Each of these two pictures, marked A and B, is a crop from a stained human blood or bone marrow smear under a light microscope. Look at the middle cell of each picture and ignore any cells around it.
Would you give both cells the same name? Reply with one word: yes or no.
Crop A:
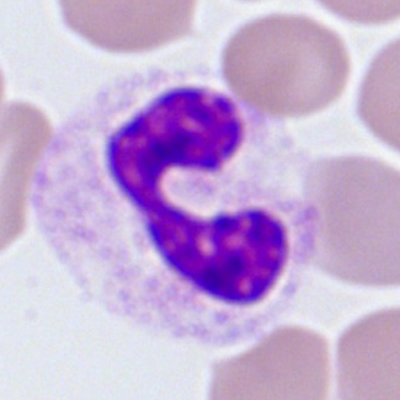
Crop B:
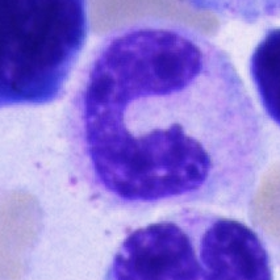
yes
